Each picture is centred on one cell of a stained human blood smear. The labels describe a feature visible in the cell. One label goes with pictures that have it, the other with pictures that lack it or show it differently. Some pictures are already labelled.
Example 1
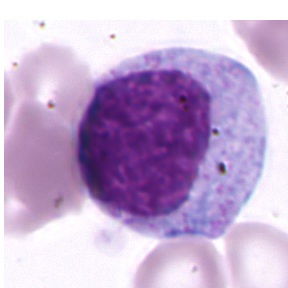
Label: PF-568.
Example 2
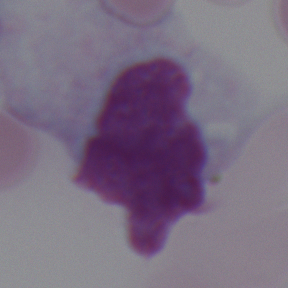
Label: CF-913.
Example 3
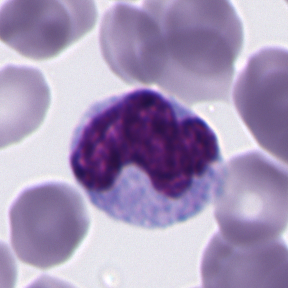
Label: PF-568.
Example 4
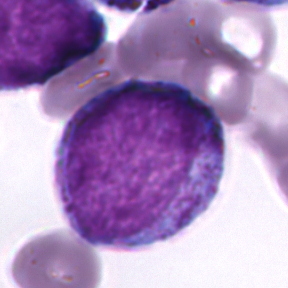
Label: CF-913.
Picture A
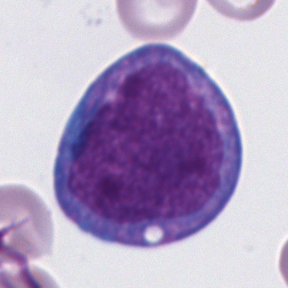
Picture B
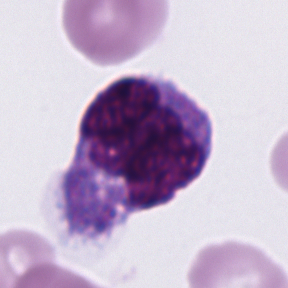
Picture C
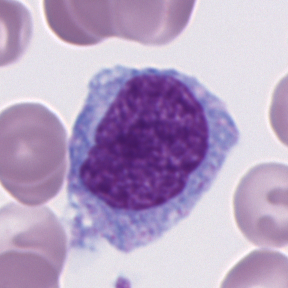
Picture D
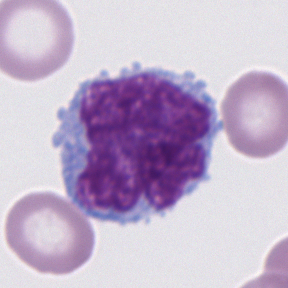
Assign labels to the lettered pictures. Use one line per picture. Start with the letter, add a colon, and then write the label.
A: CF-913.
B: PF-568.
C: PF-568.
D: CF-913.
